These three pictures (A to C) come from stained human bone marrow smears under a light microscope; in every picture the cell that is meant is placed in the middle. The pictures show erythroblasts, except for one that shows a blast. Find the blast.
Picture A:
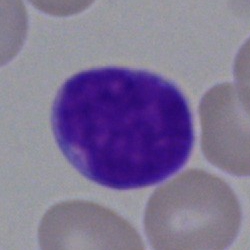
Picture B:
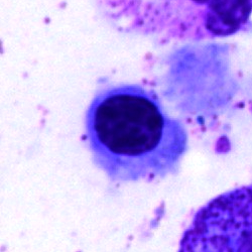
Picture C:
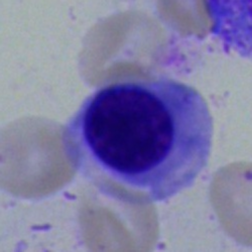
A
